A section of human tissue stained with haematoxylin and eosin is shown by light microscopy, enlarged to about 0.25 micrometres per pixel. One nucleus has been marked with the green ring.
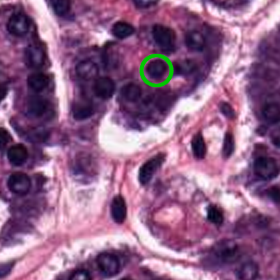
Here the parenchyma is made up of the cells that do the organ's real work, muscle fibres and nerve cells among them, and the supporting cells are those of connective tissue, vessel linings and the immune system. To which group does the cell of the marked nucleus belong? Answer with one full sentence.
The marked nucleus is attributed to a parenchymal cell, namely a pancreatic acinar cell.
